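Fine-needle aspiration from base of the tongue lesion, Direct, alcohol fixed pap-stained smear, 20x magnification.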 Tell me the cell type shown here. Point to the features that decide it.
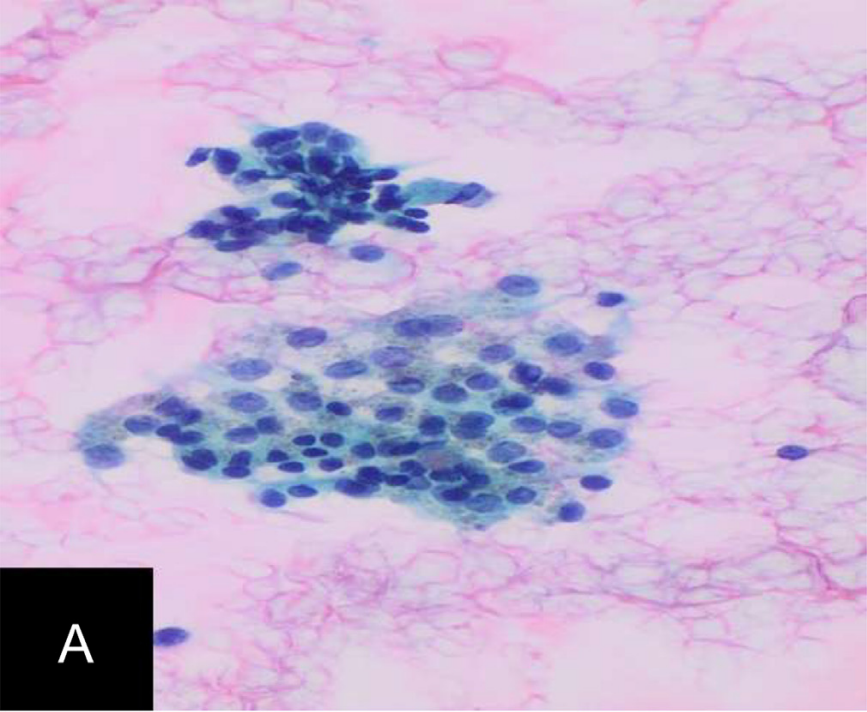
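Cohesive flat clusters of epithelial cells. Pale cytoplasm with indistinct cell borders.
Bland follicular cells.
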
